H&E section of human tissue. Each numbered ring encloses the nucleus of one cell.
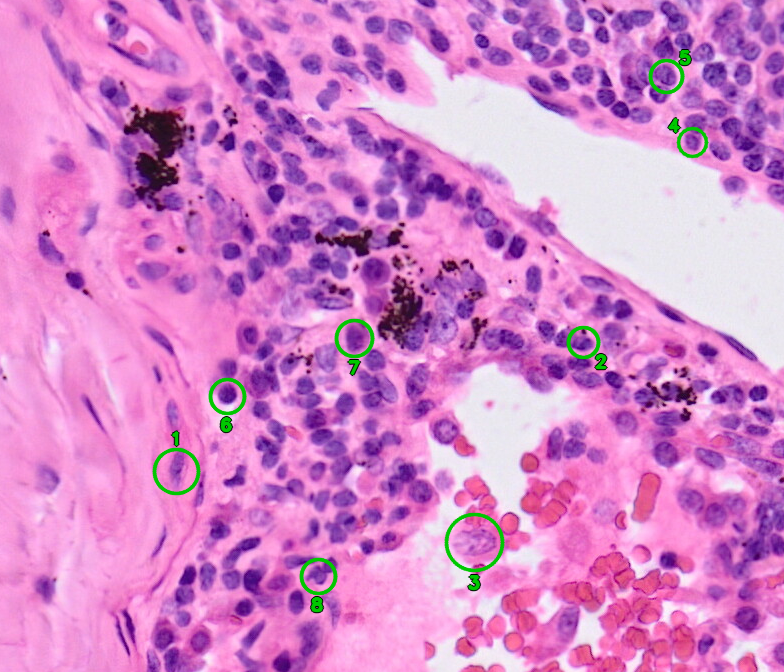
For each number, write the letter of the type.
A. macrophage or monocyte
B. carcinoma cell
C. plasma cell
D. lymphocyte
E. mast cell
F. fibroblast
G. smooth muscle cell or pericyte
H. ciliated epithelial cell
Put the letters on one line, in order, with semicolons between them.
G; D; A; D; D; D; C; D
